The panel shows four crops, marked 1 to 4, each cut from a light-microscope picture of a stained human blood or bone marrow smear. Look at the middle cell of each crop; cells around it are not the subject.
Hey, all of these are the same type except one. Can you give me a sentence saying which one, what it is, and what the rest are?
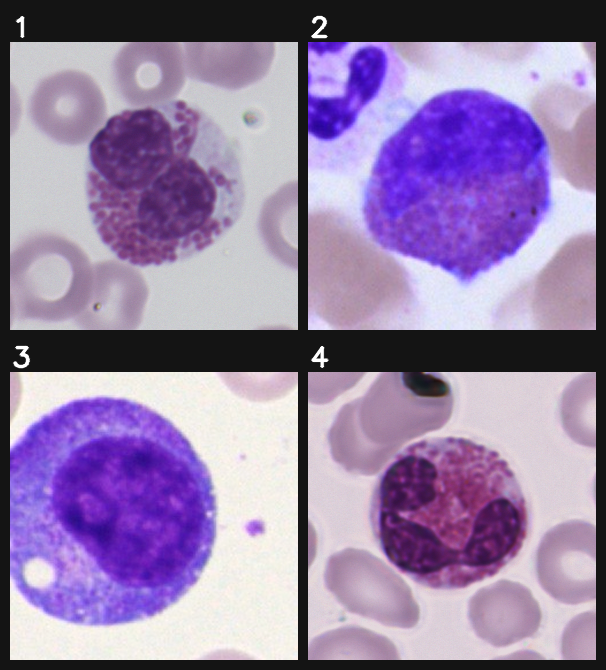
Crop 3 differs, its cell being a promyelocyte, whereas the other crops show eosinophils.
